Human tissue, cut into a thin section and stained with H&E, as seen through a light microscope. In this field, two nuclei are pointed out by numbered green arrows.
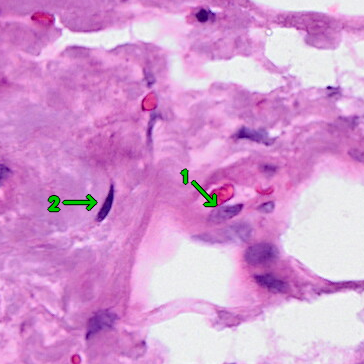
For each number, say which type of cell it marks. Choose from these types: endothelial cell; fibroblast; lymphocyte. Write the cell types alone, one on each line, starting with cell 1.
endothelial cell
fibroblast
